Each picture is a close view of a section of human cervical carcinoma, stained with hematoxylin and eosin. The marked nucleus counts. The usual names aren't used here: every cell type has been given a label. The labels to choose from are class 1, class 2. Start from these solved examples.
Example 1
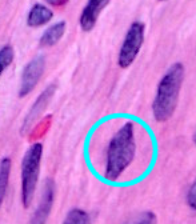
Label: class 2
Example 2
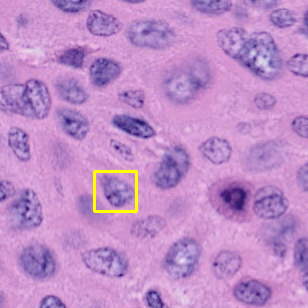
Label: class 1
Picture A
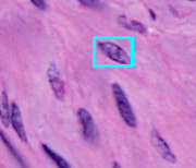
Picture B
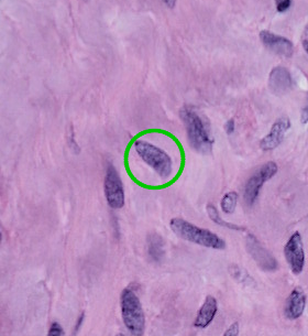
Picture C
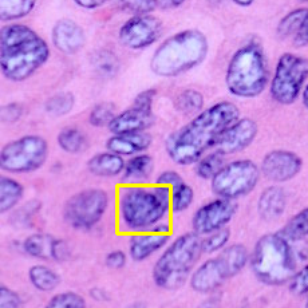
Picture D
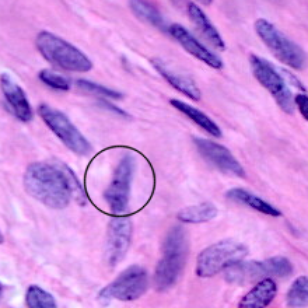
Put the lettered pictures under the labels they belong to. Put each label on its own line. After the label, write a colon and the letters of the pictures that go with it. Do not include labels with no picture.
class 1: C
class 2: A, B, D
